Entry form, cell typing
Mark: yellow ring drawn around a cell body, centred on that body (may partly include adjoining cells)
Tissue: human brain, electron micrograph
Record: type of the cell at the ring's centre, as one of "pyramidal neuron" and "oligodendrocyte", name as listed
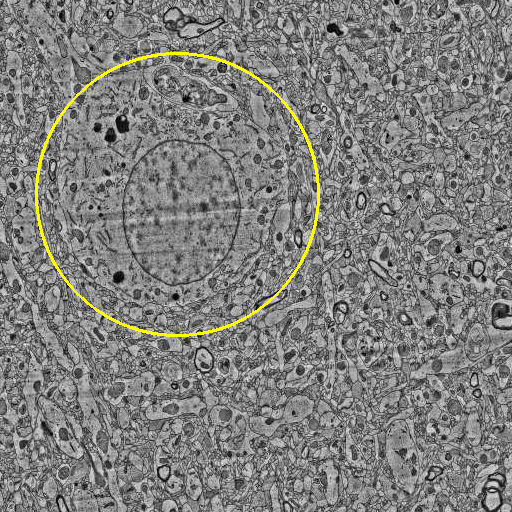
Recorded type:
pyramidal neuron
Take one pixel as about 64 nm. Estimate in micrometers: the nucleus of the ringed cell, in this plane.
In this plane, about 9 micrometres in length and 8 in width.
